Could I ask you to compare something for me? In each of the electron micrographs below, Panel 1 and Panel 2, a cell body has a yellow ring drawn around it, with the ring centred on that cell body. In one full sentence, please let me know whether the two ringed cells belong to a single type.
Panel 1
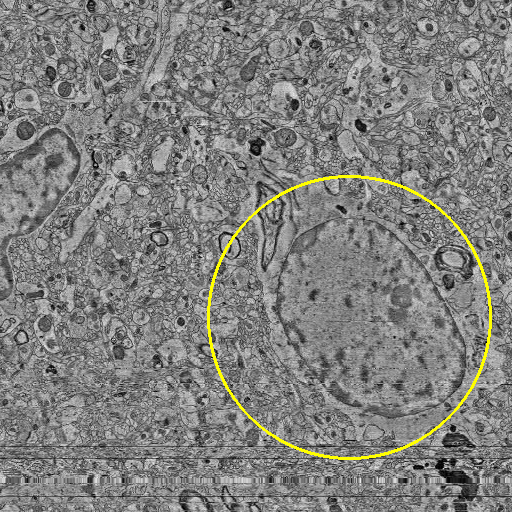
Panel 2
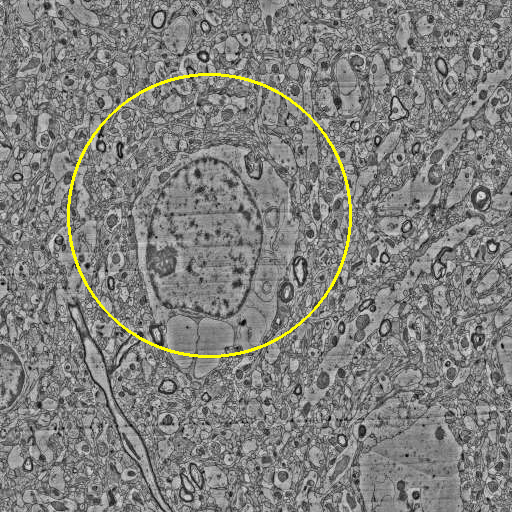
Yes, the two cells at the centres of the rings are of one type.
